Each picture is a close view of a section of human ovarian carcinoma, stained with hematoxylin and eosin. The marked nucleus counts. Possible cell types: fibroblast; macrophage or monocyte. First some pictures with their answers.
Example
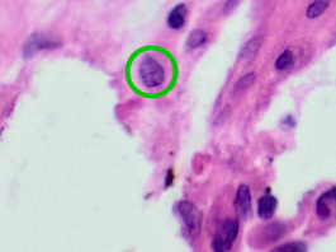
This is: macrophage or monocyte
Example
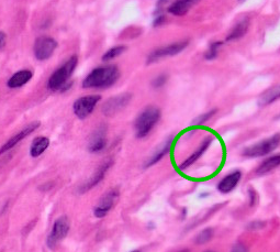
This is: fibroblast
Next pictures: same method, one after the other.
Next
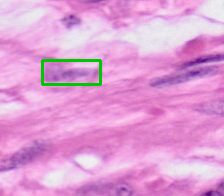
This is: fibroblast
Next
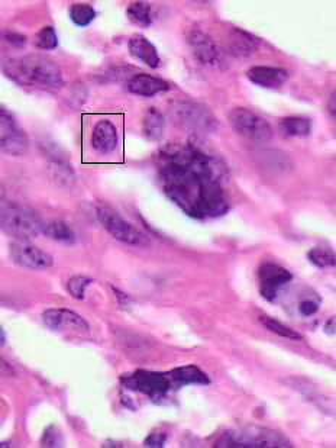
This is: macrophage or monocyte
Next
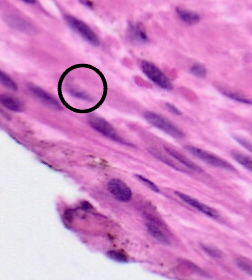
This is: fibroblast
